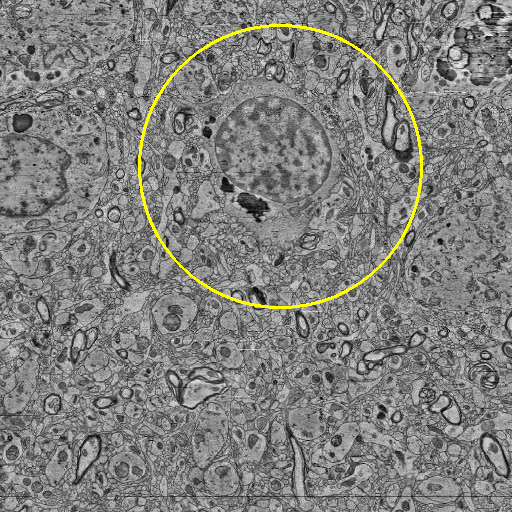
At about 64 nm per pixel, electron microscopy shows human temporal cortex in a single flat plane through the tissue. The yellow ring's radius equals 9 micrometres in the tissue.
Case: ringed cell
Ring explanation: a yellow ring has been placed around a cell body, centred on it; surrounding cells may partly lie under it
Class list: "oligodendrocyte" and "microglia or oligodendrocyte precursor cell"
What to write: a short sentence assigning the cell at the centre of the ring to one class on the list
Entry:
The cell at the ring's centre is an oligodendrocyte.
